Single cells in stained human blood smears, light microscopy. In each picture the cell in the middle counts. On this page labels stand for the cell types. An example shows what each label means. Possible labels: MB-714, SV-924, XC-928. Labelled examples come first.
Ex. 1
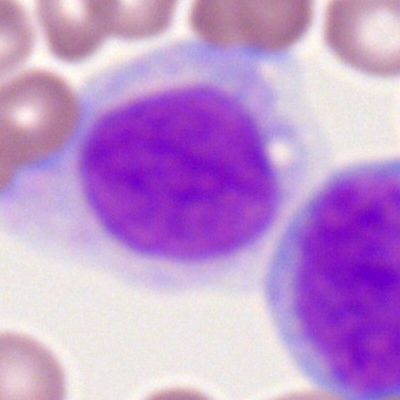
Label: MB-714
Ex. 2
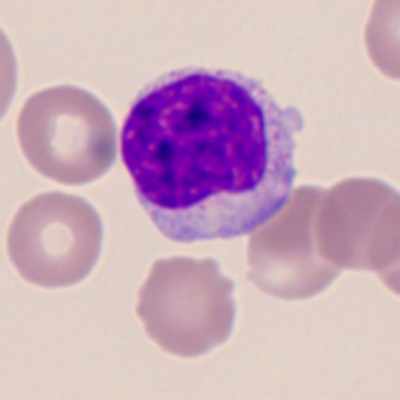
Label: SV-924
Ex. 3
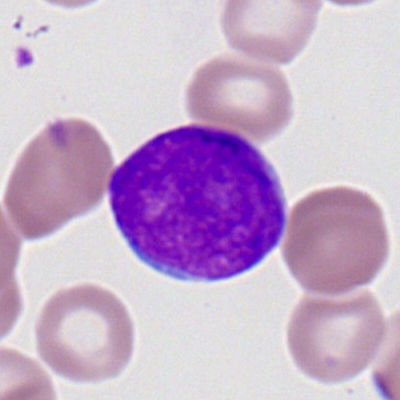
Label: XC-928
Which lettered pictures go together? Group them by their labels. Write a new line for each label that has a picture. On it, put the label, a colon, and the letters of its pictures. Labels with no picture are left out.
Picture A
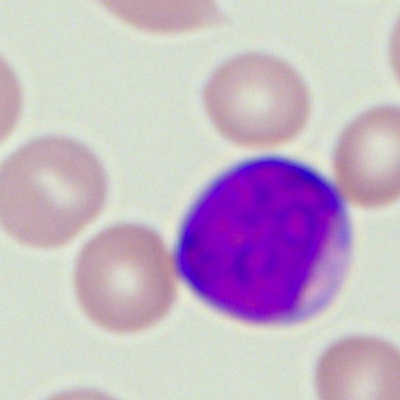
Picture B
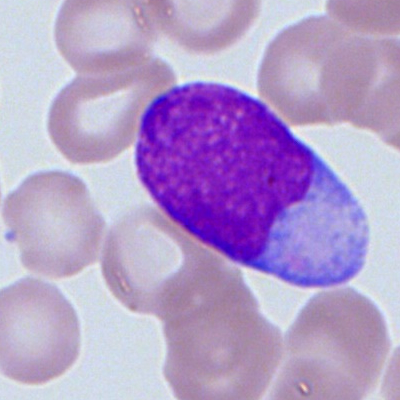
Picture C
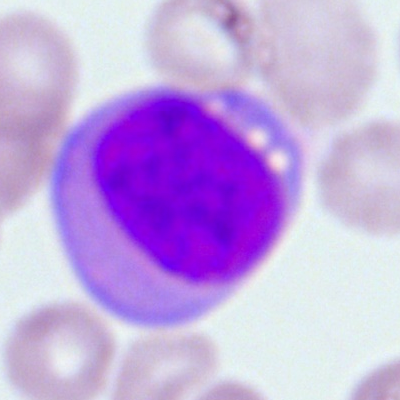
XC-928: A, B, C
